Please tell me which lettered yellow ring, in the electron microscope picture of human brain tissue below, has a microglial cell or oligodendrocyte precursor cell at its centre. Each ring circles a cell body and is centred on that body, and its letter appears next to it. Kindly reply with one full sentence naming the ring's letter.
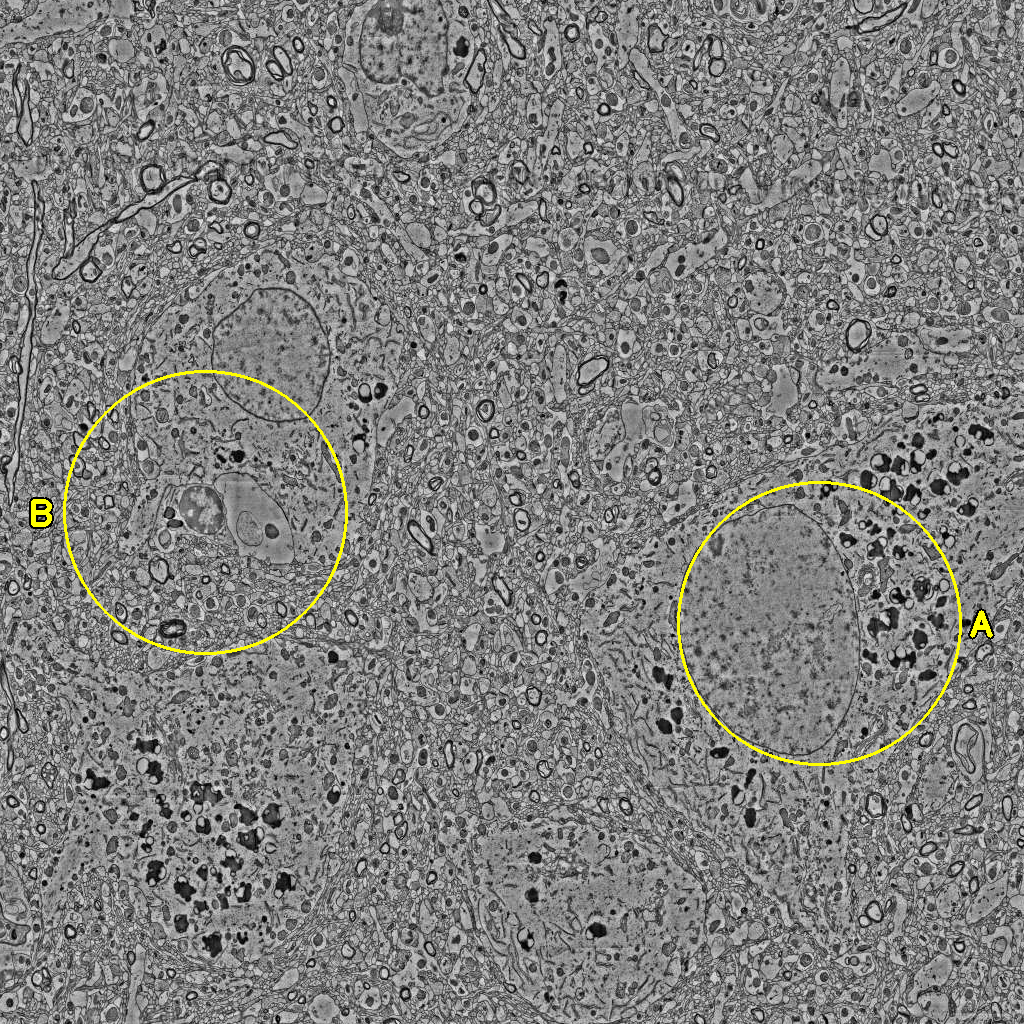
Ring B has the cell asked for at its centre.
